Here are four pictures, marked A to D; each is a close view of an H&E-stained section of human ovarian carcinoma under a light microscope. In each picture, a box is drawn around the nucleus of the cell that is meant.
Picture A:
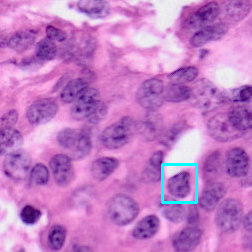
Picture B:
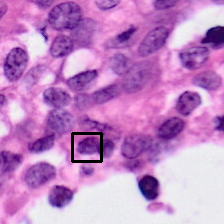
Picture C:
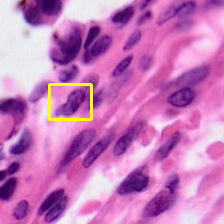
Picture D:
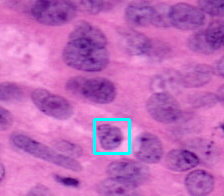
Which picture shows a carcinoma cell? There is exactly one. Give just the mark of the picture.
B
